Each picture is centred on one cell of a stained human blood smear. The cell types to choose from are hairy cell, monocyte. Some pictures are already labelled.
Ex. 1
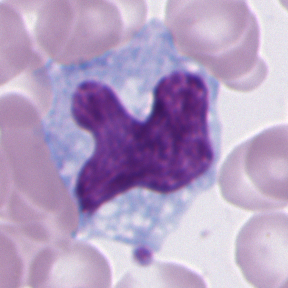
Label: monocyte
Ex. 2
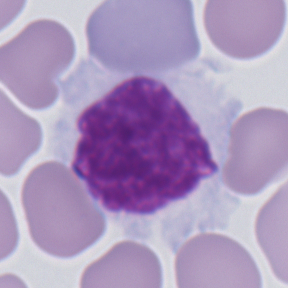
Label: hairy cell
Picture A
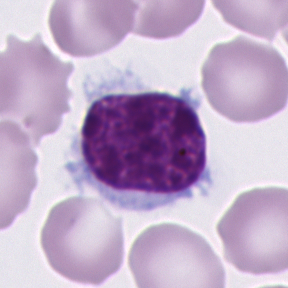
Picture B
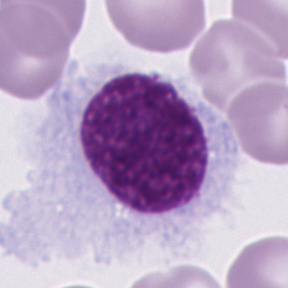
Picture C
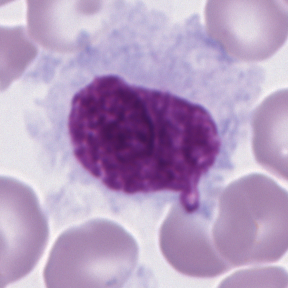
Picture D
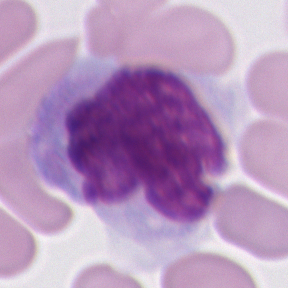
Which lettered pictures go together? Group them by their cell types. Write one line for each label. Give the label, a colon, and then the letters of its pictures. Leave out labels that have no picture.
hairy cell: A, B, C
monocyte: D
